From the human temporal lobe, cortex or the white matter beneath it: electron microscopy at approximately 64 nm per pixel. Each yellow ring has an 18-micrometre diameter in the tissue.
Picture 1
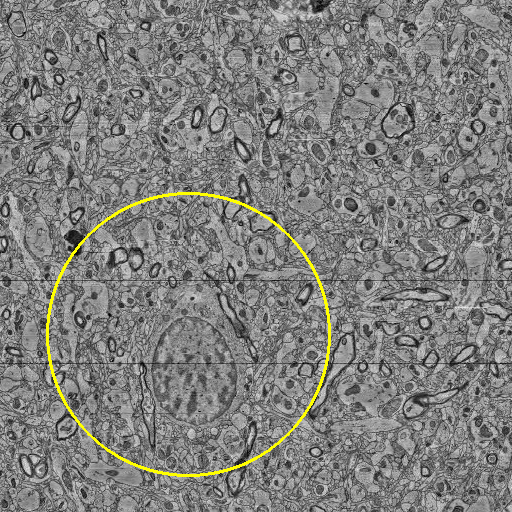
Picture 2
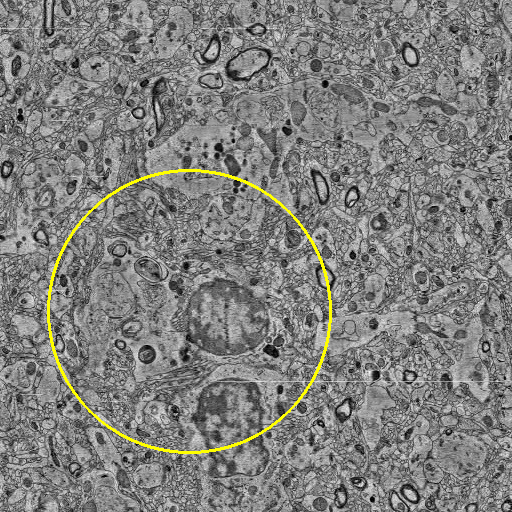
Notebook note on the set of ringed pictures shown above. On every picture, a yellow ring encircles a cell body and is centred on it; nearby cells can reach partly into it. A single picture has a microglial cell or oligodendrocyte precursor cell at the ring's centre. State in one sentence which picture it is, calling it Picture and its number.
Picture 2 is the one whose ring is centred on the sought cell.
